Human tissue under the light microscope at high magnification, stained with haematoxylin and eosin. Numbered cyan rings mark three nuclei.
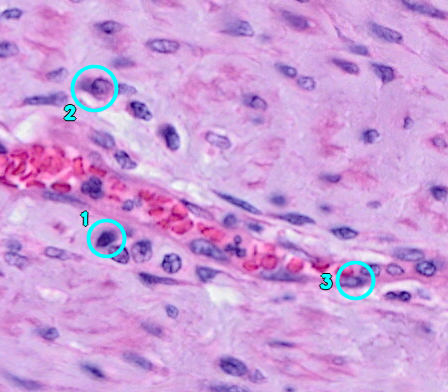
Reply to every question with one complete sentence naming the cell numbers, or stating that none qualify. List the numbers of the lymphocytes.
None but cell 1 among the numbered cells is a lymphocyte.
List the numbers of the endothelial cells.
Exactly one of the numbered cells is an endothelial cell, namely cell 3.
